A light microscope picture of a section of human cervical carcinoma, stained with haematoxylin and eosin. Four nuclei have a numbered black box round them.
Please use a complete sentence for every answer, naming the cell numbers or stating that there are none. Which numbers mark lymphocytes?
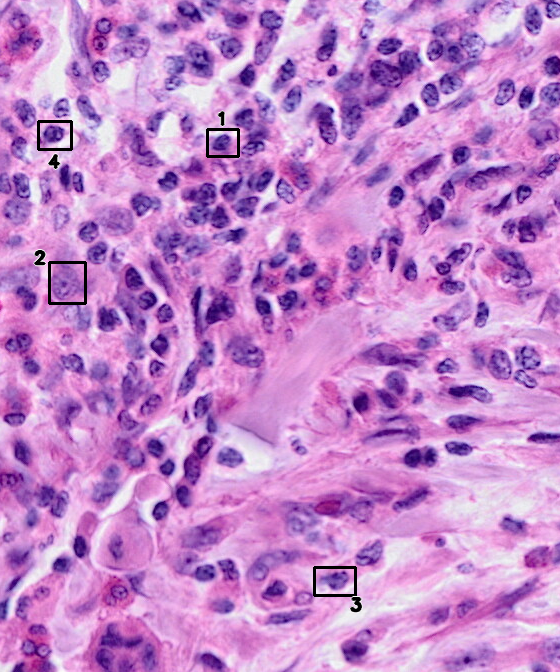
The cells with numbers 1, 3 and 4 are lymphocytes by type.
